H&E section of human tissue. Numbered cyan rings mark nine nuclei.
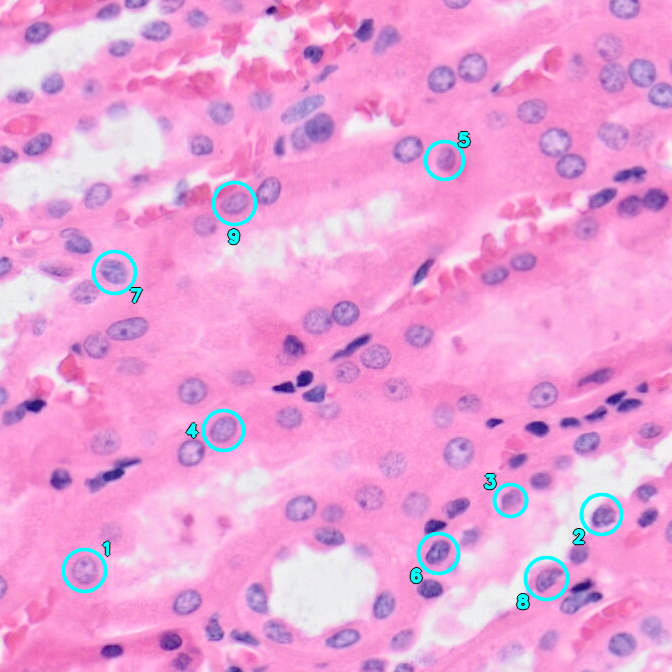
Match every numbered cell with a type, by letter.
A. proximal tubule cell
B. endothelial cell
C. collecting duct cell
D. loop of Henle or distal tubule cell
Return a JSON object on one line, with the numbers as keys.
{"1": "A", "2": "D", "3": "D", "4": "A", "5": "A", "6": "D", "7": "D", "8": "D", "9": "A"}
